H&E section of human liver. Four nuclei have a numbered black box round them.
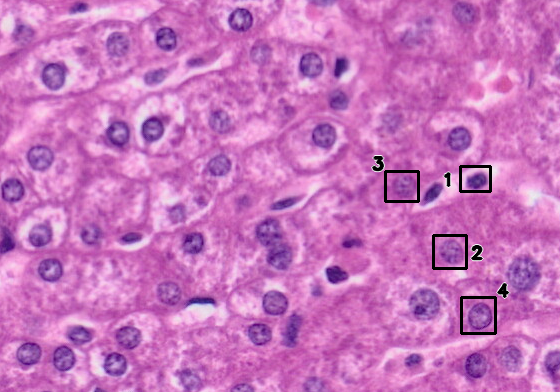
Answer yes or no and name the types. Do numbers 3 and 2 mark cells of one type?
Yes, the numbered cells 3 and 2 are both hepatocytes.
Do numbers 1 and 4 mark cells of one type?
No, cell 1 is a lymphocyte, and cell 4, for its part, is a hepatocyte.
